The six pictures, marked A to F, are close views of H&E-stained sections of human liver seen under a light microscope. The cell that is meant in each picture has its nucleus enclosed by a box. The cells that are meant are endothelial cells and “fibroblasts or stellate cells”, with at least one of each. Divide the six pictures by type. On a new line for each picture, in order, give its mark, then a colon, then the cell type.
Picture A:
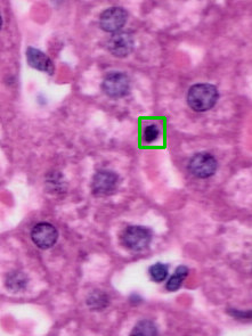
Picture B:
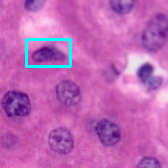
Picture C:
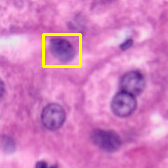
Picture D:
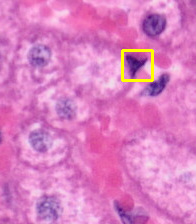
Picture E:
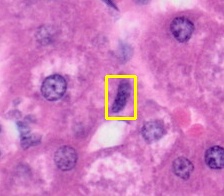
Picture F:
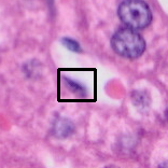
A: fibroblast or stellate cell
B: fibroblast or stellate cell
C: endothelial cell
D: endothelial cell
E: fibroblast or stellate cell
F: endothelial cell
